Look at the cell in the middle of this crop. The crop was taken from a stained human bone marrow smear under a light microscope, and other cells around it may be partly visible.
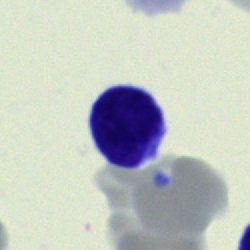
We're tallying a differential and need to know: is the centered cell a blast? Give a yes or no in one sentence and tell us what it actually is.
No, the middle cell is classified as a lymphocyte and not as a blast.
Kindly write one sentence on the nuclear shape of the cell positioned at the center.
Between us, the nucleus here is just one compact mass, round, oval or kidney-shaped.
